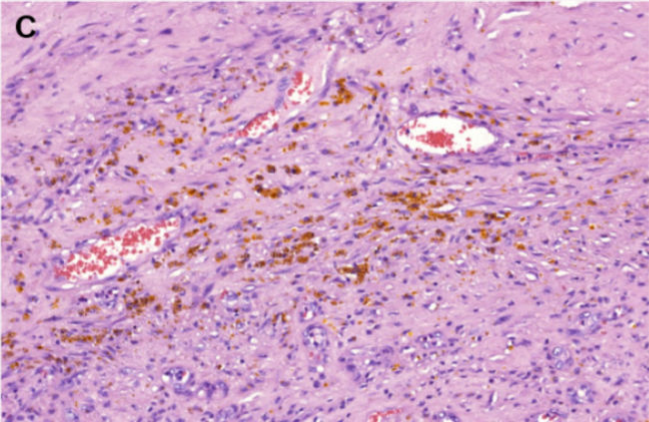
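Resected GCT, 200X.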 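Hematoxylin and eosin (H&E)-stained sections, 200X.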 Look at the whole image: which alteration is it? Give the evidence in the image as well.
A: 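Many golden-brown pigment granules are scattered through the stroma. The background is fibrous stroma with spindle cells. That points to this answer: Focal fresh and old hemorrhages.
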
